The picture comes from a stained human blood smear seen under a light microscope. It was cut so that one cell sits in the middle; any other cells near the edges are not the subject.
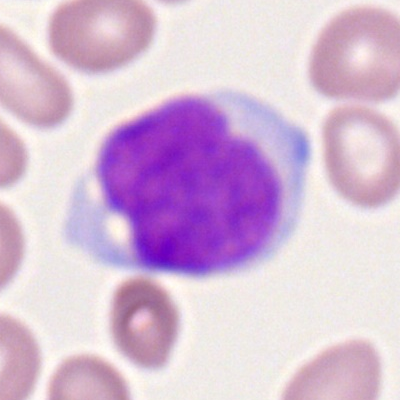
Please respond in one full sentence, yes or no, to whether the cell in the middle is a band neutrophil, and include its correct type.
No, the central cell is classed as a monocyte and not as a band neutrophil.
